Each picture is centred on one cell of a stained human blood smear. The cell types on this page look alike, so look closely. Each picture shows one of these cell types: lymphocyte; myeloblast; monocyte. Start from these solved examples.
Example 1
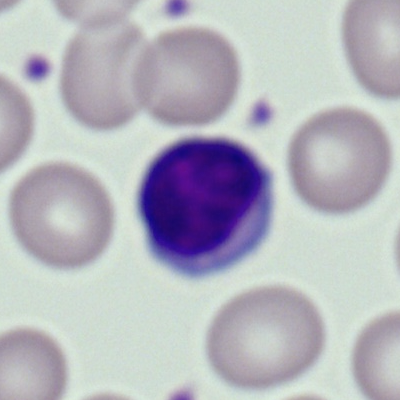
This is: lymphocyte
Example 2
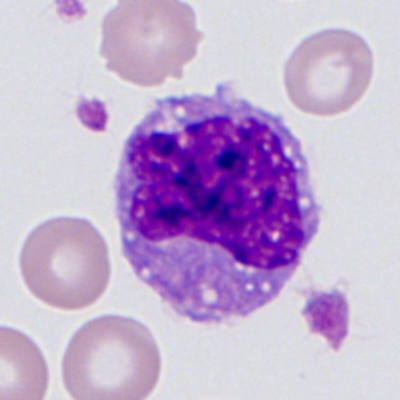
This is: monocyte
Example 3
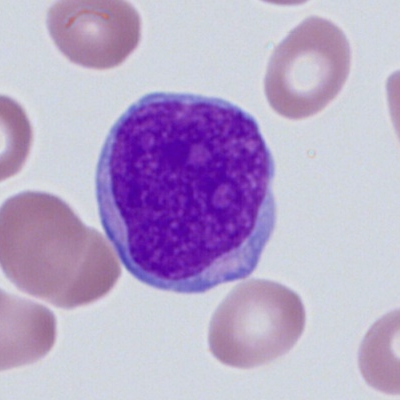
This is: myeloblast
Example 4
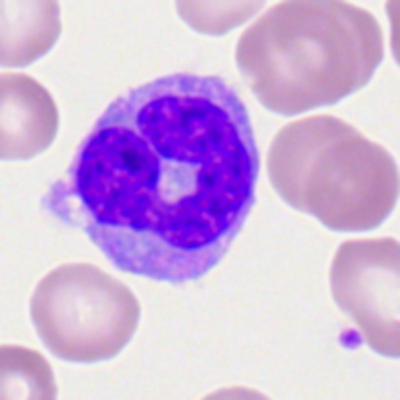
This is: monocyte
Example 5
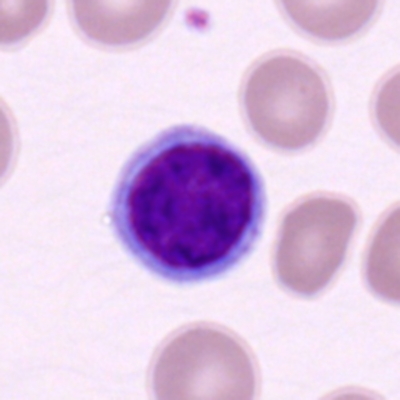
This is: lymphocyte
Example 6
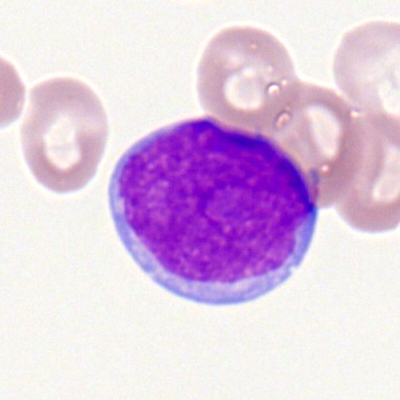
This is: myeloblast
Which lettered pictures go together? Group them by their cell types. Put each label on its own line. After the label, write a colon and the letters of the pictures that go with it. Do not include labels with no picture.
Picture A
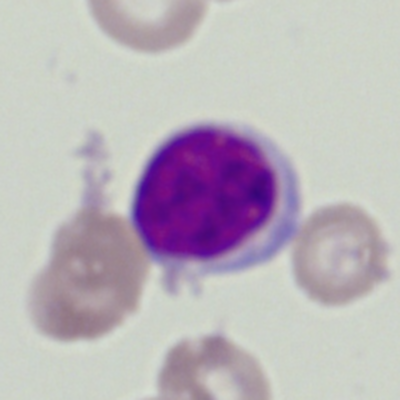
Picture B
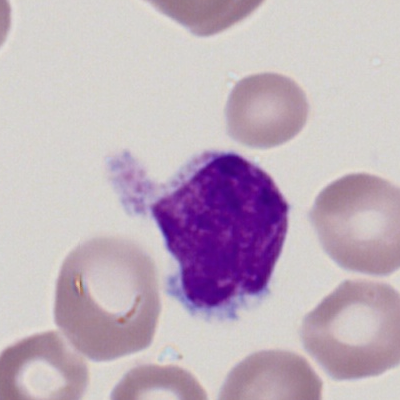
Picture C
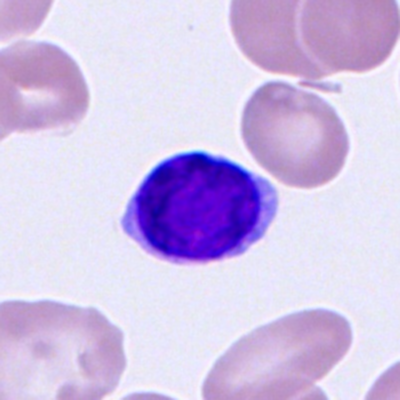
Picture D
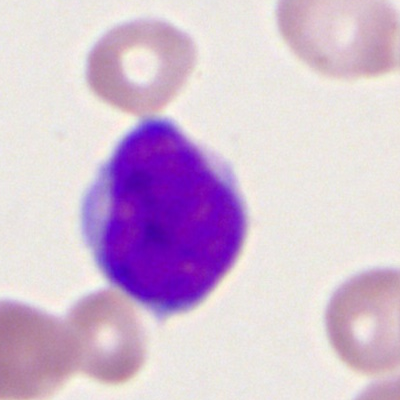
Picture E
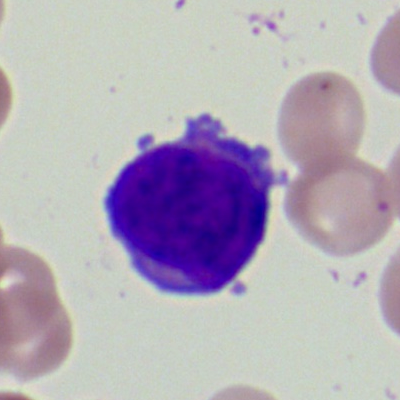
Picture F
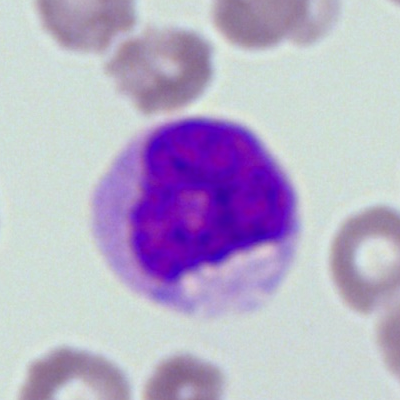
lymphocyte: A, B, C
myeloblast: D, E
monocyte: F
